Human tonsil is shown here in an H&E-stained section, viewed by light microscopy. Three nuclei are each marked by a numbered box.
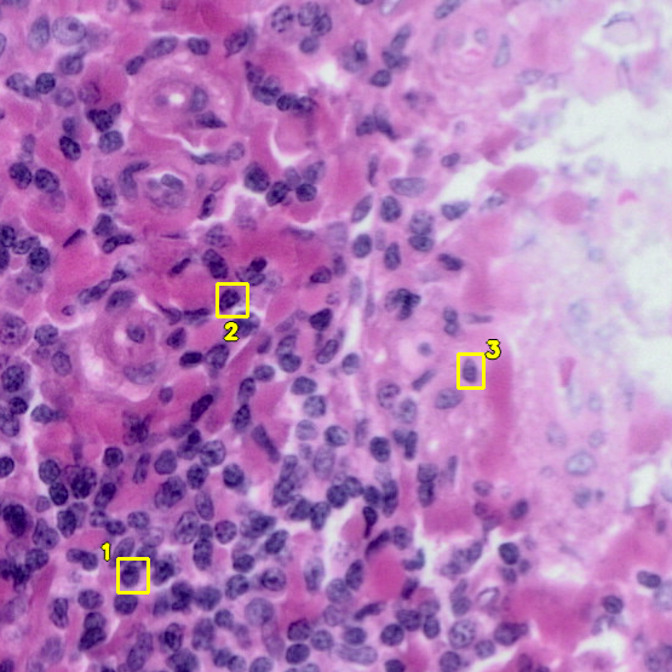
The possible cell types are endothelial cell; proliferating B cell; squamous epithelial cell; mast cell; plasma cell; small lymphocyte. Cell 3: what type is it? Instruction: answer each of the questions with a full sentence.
Belonging to a mast cell is the nucleus that carries the number 3.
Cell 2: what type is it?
Cell 2, among those numbered, is a plasma cell.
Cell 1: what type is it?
The cell marked with the number 1 is a small lymphocyte.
